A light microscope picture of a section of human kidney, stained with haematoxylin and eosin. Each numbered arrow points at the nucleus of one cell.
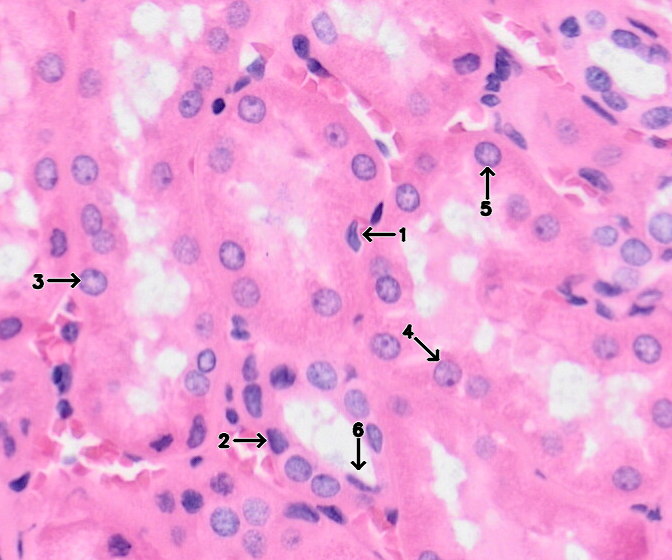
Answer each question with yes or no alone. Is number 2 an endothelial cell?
no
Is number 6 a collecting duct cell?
yes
